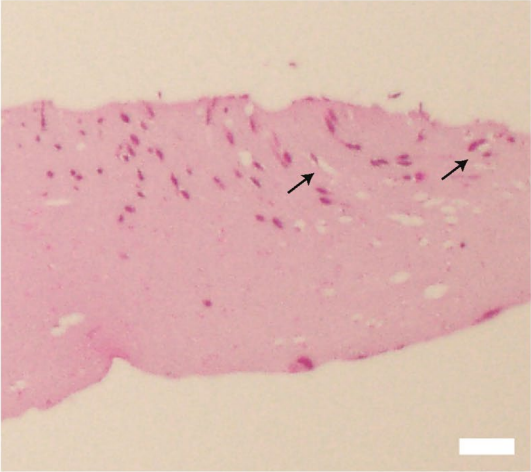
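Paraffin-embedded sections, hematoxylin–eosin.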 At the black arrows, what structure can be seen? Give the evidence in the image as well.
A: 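The arrows point to small clear, unstained spaces in the pink matrix. The clear spaces lie beside dark purple, elongated nuclei. That points to this answer: vacuoles.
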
